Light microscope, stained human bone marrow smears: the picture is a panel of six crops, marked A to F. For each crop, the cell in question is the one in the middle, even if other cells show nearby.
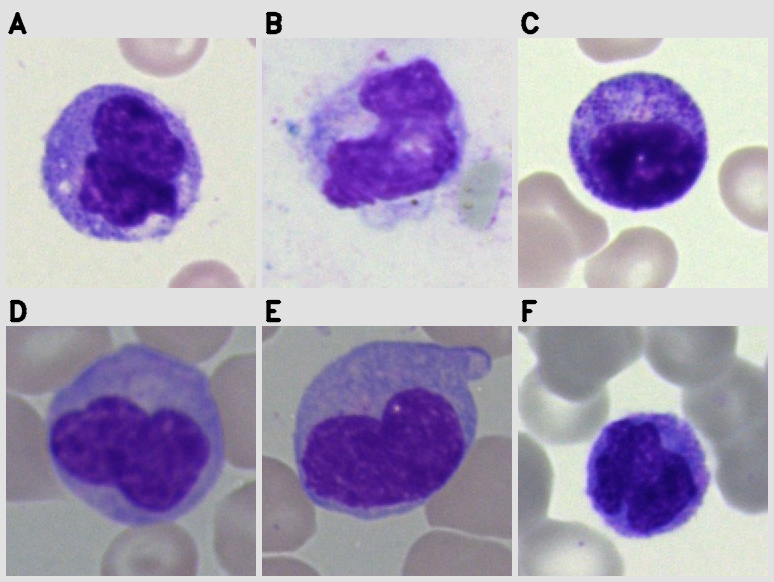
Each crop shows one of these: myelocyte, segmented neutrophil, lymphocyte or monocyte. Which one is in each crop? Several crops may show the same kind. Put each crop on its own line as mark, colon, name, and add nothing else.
A: monocyte
B: monocyte
C: myelocyte
D: monocyte
E: monocyte
F: monocyte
